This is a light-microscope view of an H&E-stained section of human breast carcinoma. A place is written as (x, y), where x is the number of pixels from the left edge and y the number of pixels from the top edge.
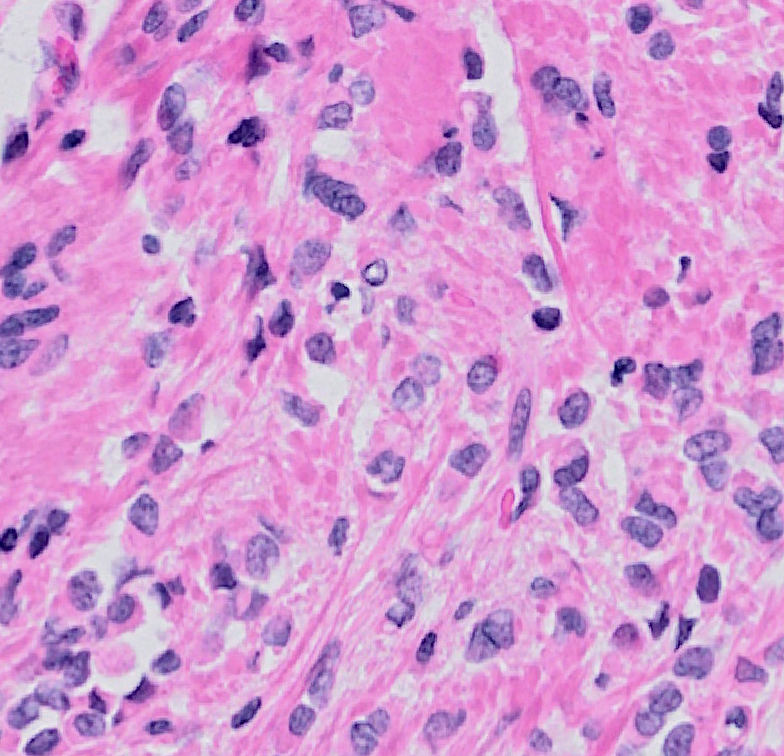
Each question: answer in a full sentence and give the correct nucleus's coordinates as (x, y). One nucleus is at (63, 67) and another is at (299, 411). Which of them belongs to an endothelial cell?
The nucleus at (63, 67) is the member of the pair belonging to an endothelial cell.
